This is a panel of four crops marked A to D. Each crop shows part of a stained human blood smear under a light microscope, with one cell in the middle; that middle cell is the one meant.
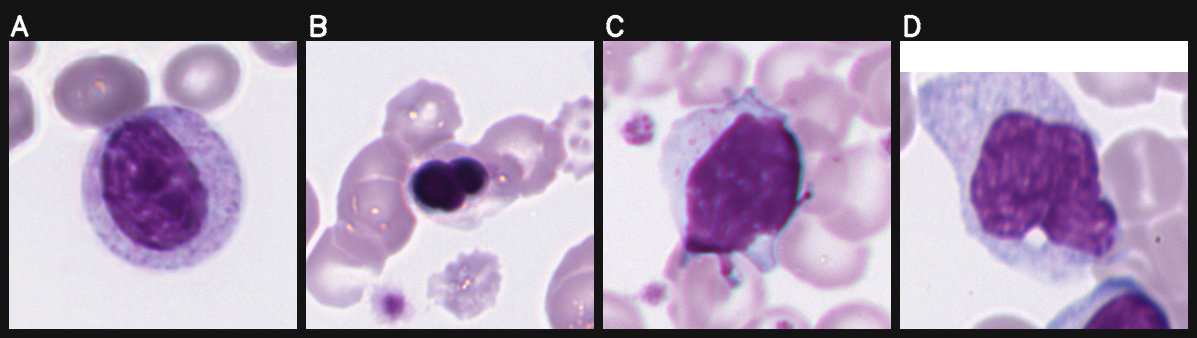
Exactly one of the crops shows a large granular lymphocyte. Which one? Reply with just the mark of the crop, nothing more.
C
